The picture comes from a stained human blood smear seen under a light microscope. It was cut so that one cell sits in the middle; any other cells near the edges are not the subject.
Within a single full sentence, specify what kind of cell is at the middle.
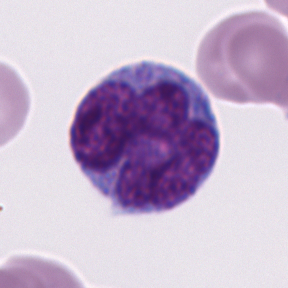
On this slide crop, the central cell is a monocyte.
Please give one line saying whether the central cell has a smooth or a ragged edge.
No surface projections are present; the cell outline is smooth.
